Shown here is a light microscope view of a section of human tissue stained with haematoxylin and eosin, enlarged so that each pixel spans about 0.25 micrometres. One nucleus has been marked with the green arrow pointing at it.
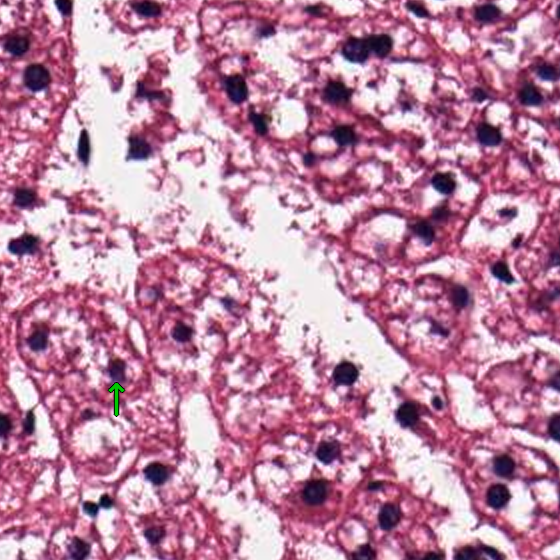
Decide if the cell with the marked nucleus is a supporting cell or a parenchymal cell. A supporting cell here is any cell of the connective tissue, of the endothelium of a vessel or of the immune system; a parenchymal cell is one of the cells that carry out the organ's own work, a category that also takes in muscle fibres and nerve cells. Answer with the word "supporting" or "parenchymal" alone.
parenchymal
